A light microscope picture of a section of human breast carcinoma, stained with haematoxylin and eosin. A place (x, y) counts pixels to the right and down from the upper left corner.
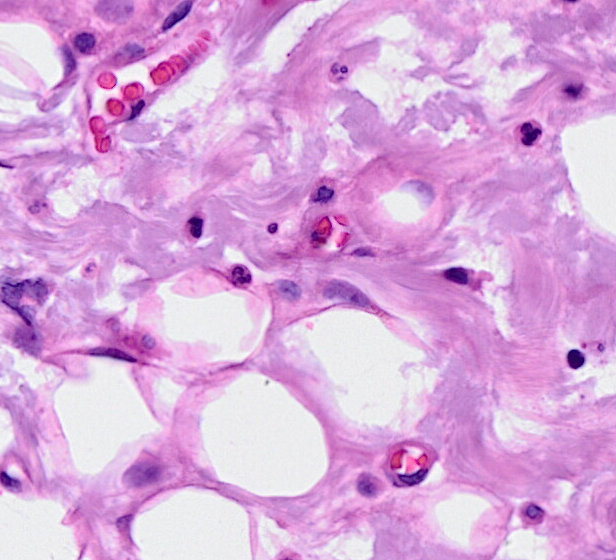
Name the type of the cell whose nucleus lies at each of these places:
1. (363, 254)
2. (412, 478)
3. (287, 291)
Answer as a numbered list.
1. fibroblast
2. endothelial cell
3. fibroblast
